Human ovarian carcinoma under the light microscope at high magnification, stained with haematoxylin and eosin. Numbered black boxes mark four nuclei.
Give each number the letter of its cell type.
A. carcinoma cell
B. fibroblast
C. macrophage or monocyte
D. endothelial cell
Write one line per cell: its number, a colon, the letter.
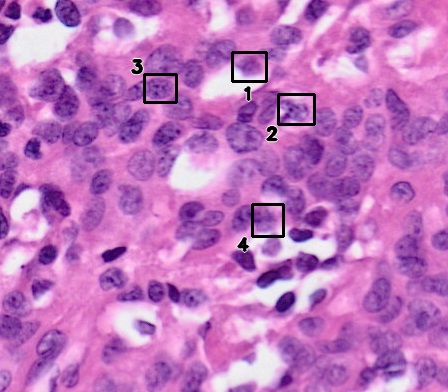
1: A
2: C
3: A
4: A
